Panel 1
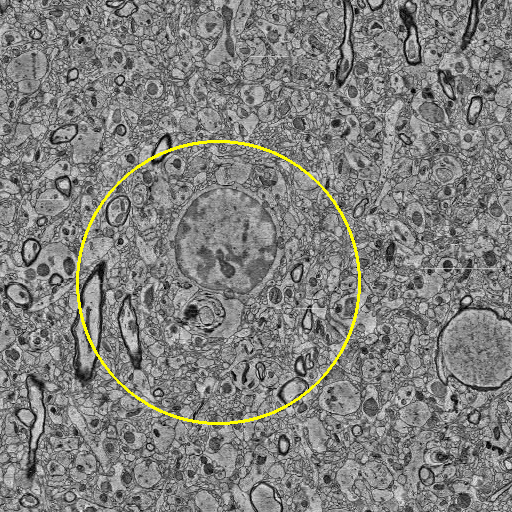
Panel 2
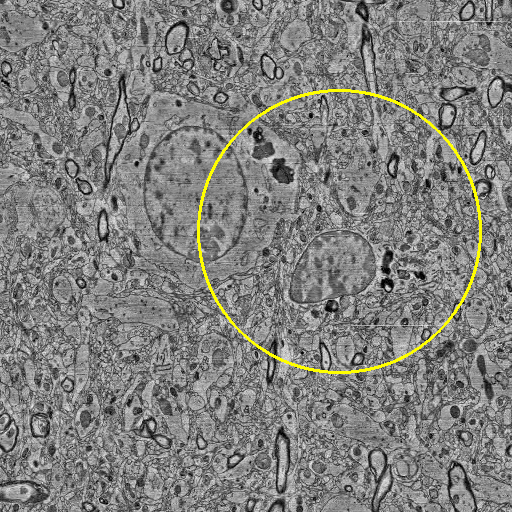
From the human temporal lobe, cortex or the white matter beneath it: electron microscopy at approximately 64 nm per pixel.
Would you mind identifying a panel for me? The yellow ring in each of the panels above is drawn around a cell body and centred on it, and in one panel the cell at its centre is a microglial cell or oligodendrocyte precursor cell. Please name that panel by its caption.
Panel 2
